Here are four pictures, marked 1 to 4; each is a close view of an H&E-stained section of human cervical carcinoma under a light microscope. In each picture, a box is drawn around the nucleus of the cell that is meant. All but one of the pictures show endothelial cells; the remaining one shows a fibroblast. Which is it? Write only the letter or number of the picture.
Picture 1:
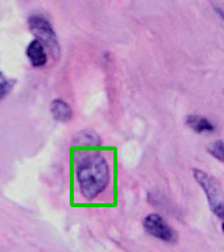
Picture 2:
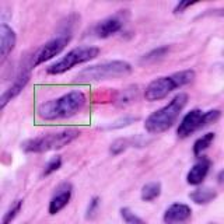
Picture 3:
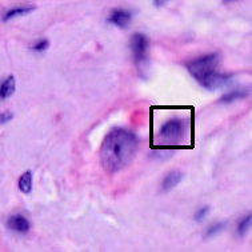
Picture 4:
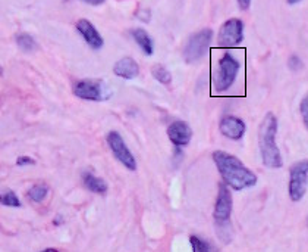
4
